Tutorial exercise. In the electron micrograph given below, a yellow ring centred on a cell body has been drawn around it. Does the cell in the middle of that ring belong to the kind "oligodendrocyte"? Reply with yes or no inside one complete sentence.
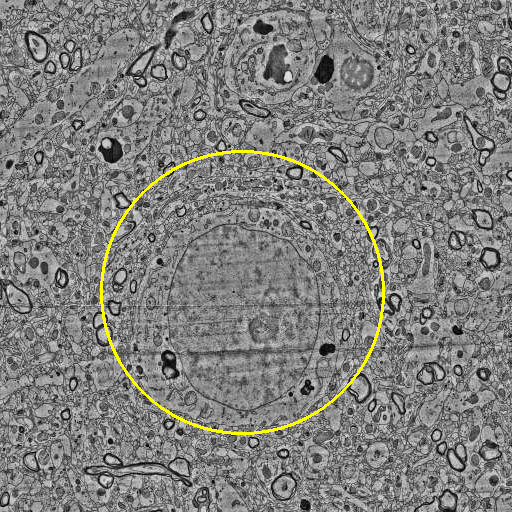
No, the cell at the centre of the ring in the picture is of a different kind.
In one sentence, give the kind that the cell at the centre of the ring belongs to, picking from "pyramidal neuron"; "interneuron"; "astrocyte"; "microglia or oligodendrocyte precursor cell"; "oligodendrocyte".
Here, the ring is centred on a pyramidal neuron instead.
